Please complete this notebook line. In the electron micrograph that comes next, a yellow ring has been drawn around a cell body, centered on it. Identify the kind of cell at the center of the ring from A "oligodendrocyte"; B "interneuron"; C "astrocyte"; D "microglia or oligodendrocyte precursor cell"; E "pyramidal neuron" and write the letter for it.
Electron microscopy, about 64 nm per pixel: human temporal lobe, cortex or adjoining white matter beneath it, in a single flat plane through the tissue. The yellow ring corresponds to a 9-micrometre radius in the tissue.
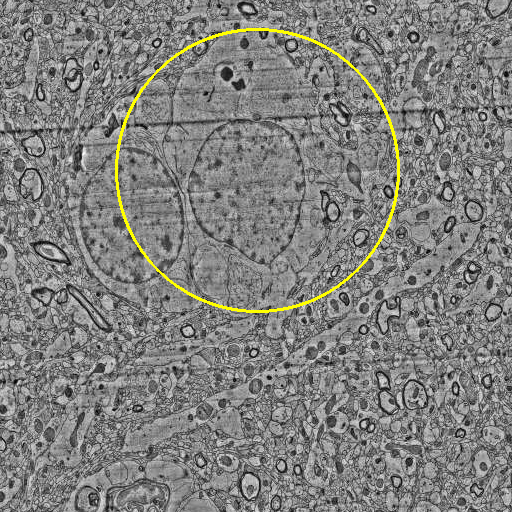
C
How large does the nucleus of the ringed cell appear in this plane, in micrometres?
In this plane the nucleus measures roughly 9 by 8 micrometres.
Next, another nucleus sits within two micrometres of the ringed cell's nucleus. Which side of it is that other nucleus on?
That other nucleus lies to the left of it.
